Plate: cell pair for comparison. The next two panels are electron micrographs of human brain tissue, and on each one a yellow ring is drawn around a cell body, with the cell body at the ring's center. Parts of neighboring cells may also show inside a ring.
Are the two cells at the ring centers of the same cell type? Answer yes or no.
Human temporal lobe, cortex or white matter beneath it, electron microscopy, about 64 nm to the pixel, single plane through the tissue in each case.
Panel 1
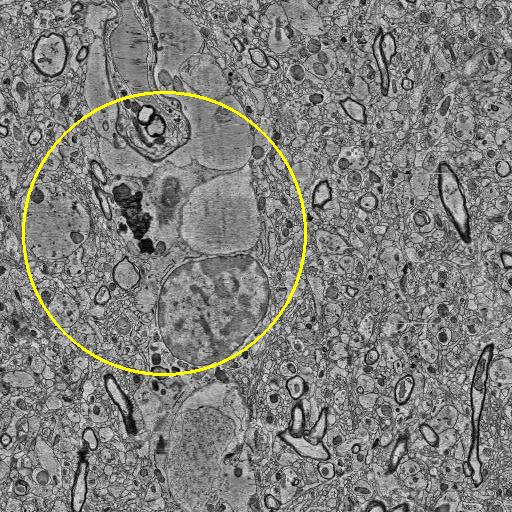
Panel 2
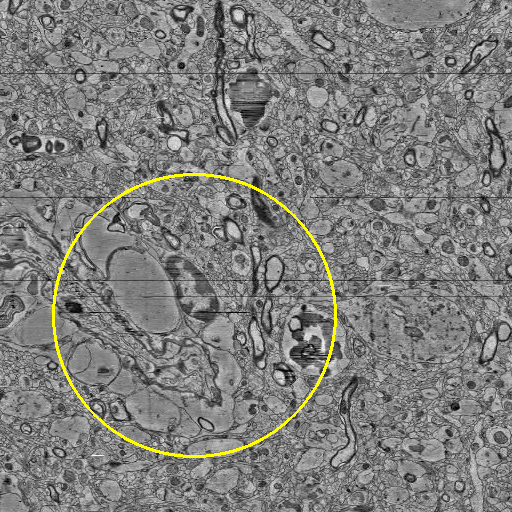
no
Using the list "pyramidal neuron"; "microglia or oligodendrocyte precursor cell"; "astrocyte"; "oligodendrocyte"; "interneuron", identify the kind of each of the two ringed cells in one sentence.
The first is an oligodendrocyte and the second is a microglial cell or oligodendrocyte precursor cell.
